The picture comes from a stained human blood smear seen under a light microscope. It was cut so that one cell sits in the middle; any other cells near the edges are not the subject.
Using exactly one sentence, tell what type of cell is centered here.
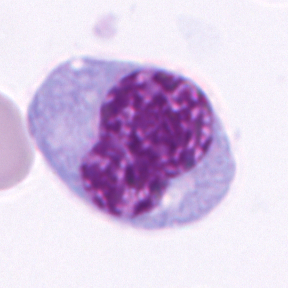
In this smear crop, the middle cell is a plasma cell.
